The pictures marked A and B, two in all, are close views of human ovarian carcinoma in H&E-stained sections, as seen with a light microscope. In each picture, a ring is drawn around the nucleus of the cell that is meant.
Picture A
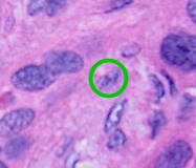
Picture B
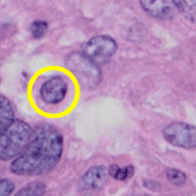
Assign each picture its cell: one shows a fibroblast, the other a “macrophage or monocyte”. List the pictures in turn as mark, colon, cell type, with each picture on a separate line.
A: fibroblast
B: macrophage or monocyte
